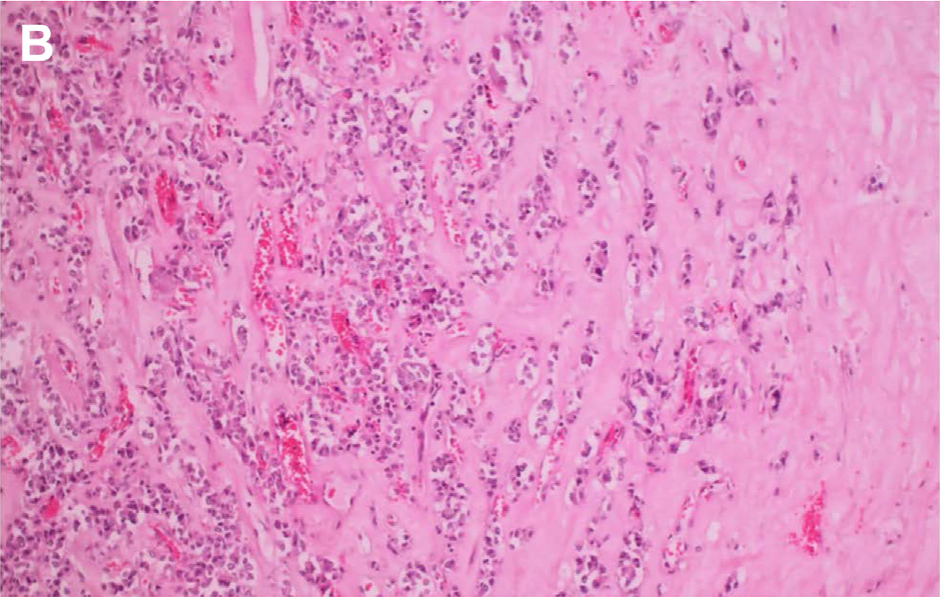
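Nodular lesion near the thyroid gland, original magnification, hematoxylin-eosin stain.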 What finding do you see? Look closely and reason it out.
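Hyalinized matrix. Broad areas of homogeneous, glassy pink acellular stroma. The stroma is most extensive toward the right side, where cells are sparse. Cell nests are separated by bands of pink matrix.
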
